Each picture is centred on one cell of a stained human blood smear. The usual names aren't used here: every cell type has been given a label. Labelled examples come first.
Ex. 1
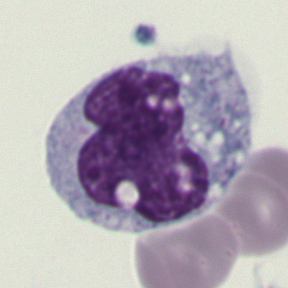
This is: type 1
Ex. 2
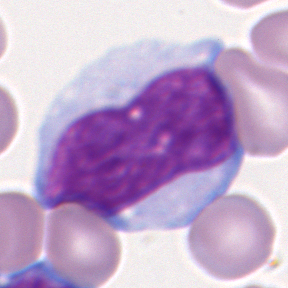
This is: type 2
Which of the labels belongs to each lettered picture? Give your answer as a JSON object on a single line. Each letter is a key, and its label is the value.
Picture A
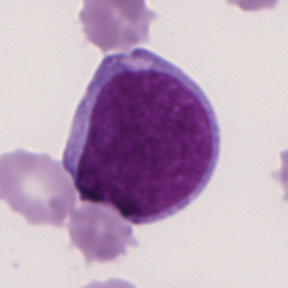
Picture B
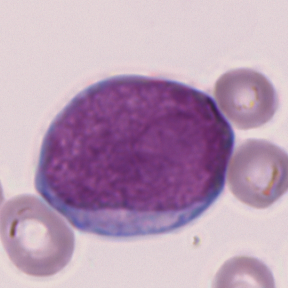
{"A": "type 2", "B": "type 2"}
